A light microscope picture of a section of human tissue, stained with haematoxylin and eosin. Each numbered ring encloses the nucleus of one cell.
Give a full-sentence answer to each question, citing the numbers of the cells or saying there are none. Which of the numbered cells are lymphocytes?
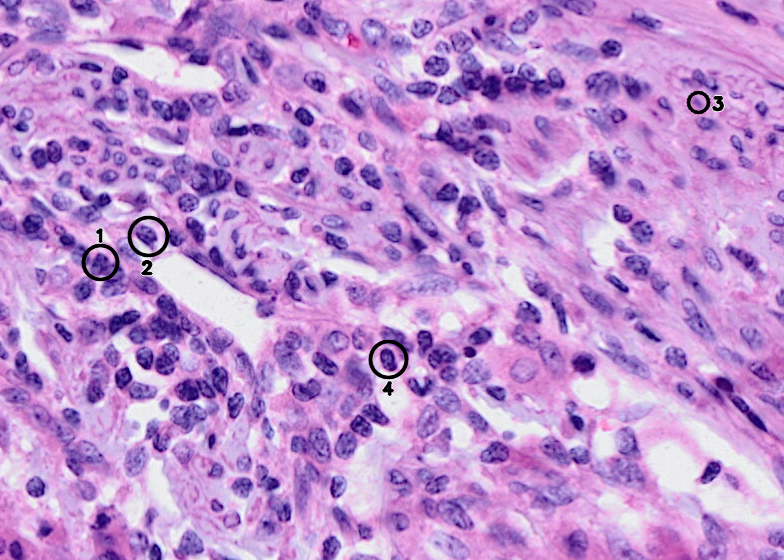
By cell type, the cells numbered 1, 2 and 4 are lymphocytes.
